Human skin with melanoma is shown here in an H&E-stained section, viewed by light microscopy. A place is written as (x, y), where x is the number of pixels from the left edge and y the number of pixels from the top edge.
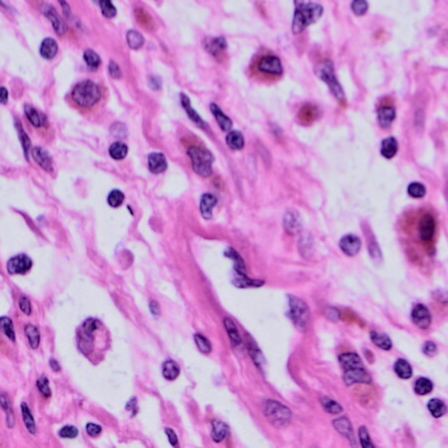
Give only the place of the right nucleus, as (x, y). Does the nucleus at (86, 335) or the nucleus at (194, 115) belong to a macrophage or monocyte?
(86, 335)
